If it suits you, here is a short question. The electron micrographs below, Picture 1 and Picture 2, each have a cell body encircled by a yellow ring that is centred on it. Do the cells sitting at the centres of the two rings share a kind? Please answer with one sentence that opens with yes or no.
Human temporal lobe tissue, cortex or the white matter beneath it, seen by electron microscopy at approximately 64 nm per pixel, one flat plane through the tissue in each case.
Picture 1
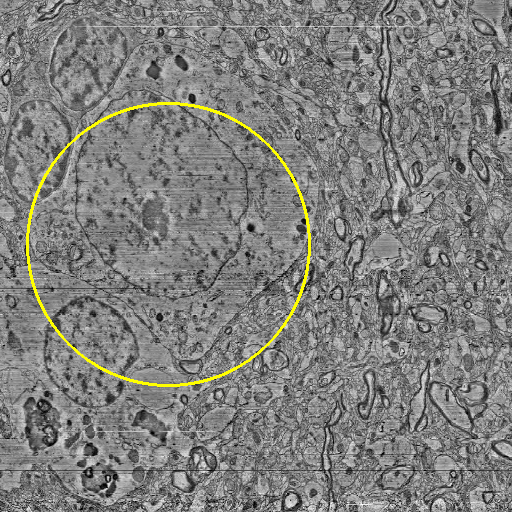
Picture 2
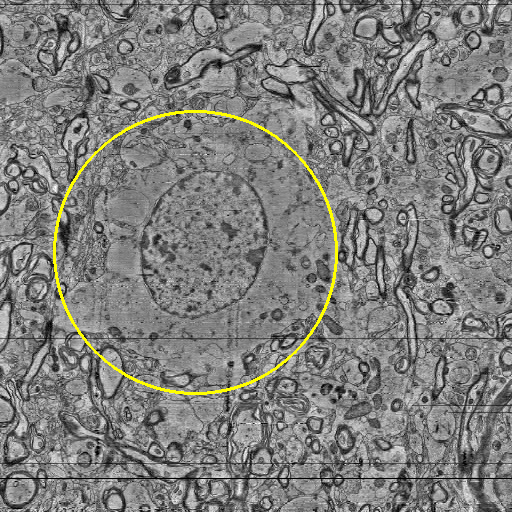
No, the two cells sitting at the ring centres fall into two kinds.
